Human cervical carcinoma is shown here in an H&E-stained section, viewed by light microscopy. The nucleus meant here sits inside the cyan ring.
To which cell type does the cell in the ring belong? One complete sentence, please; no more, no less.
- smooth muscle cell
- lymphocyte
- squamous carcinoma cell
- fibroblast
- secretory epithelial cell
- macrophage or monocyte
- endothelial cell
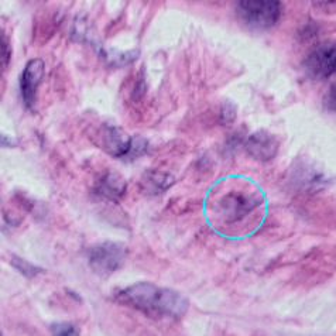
The identity of the cell in the ring is that of a fibroblast.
